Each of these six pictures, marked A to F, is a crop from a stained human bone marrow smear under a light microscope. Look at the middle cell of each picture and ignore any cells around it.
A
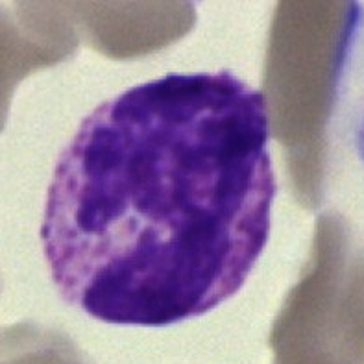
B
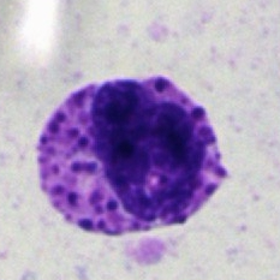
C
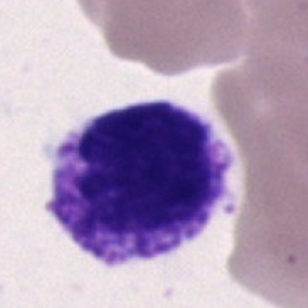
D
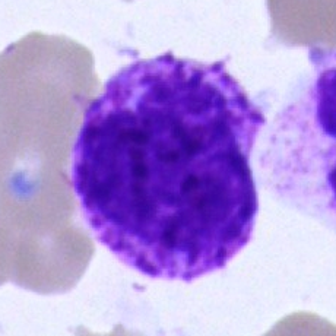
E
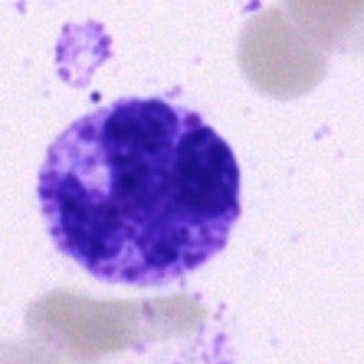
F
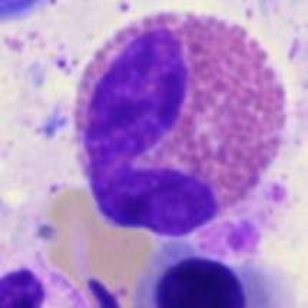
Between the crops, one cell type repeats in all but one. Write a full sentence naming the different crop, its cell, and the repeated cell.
Crop F is the only crop with an eosinophil, the others all showing basophils.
